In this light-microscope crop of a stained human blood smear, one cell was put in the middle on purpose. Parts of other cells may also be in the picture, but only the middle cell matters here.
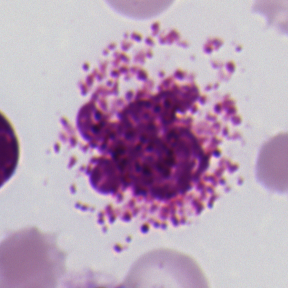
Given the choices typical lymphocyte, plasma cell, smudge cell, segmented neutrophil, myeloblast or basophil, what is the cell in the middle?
basophil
